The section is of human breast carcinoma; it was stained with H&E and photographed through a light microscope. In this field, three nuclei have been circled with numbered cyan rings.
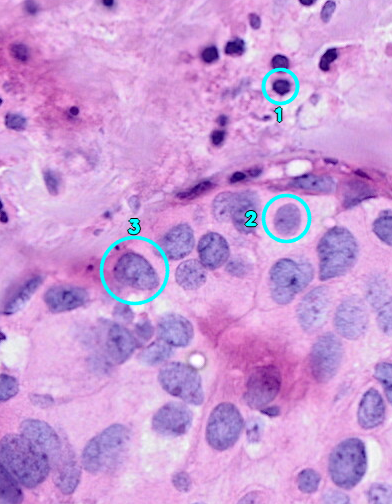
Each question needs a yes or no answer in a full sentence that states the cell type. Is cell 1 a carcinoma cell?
No, the cell referred to as 1 is a lymphocyte, not a carcinoma cell.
